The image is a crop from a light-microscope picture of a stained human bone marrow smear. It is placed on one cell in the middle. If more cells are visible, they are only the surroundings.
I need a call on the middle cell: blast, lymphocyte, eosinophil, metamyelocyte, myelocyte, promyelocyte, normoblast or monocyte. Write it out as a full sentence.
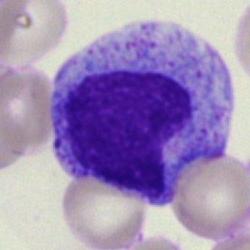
In the middle of this smear crop, the cell is a metamyelocyte.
